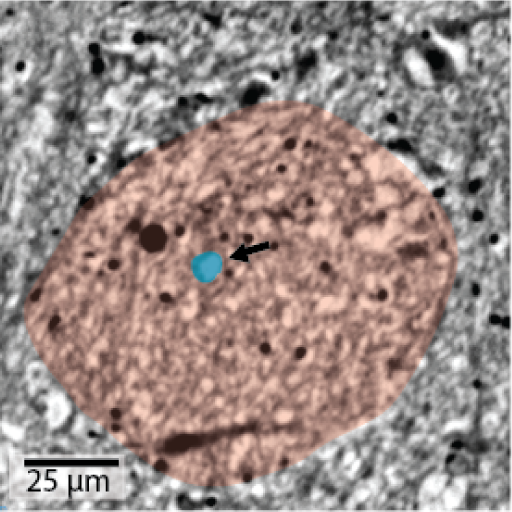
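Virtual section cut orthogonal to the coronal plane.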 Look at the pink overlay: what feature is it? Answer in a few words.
Axon bundle.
